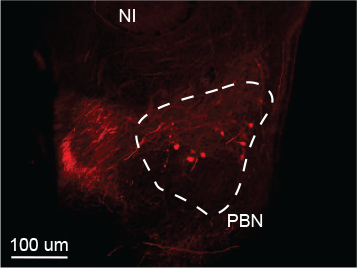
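Within the outline lie a few small, bright red round profiles, the labeled cell bodies, scattered rather than clustered. Thin red threads, the labeled axons, wind across the outlined area and beyond it, and at the left edge of the section a dense band of red fibers forms a bright, streaky patch.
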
